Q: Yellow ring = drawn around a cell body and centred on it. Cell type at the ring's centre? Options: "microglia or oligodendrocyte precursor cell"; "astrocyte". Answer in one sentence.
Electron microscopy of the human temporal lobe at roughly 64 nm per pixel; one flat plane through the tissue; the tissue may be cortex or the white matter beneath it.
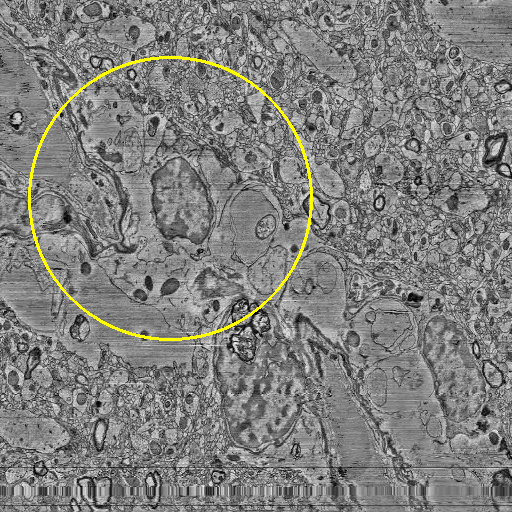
Centred in the ring is a microglial cell or oligodendrocyte precursor cell.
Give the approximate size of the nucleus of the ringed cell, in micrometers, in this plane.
The nucleus of the ringed cell is clearly longer than it is wide in this plane, about 6 by 4 micrometres.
